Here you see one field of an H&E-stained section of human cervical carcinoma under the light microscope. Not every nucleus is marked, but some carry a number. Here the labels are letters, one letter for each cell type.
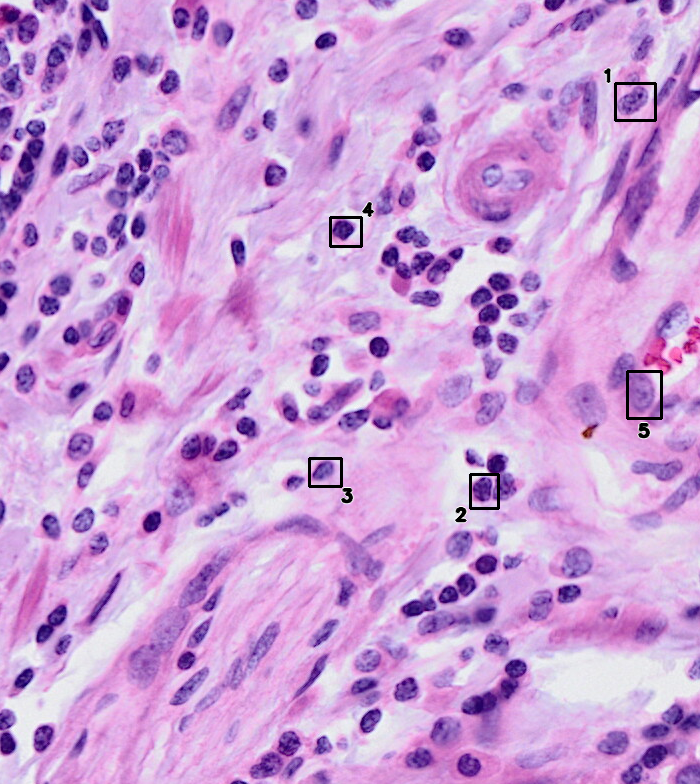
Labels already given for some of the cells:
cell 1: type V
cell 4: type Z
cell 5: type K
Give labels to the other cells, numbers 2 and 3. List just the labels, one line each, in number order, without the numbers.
type Z
type Z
